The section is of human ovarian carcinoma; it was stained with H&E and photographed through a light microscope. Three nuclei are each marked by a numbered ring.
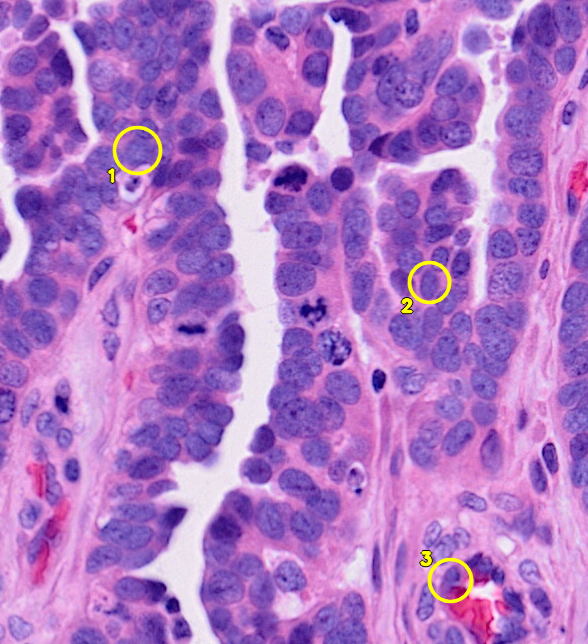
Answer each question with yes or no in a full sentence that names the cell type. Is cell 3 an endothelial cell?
Yes, regarding number 3, the cell is an endothelial cell.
